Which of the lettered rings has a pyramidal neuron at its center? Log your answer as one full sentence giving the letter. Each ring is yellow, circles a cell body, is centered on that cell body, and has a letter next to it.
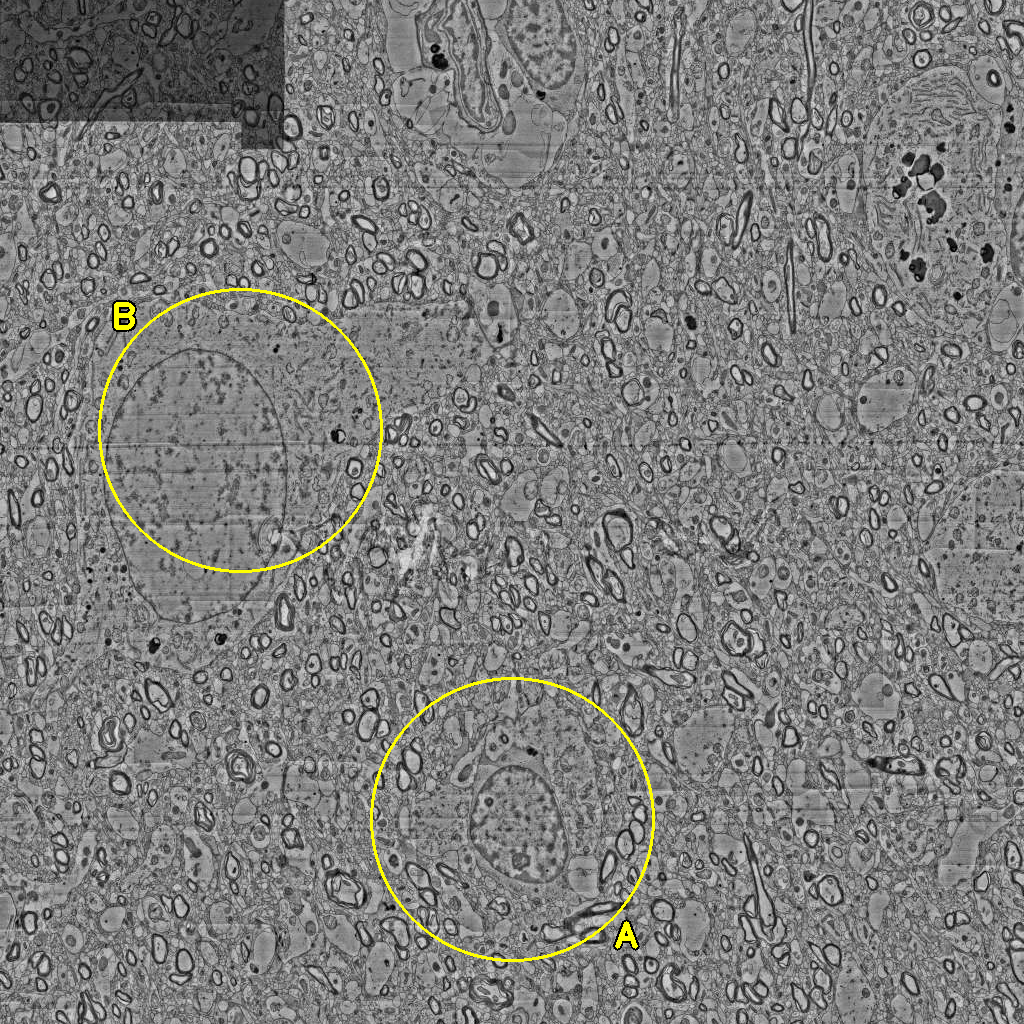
The lettered ring centered on the cell asked for is ring B.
